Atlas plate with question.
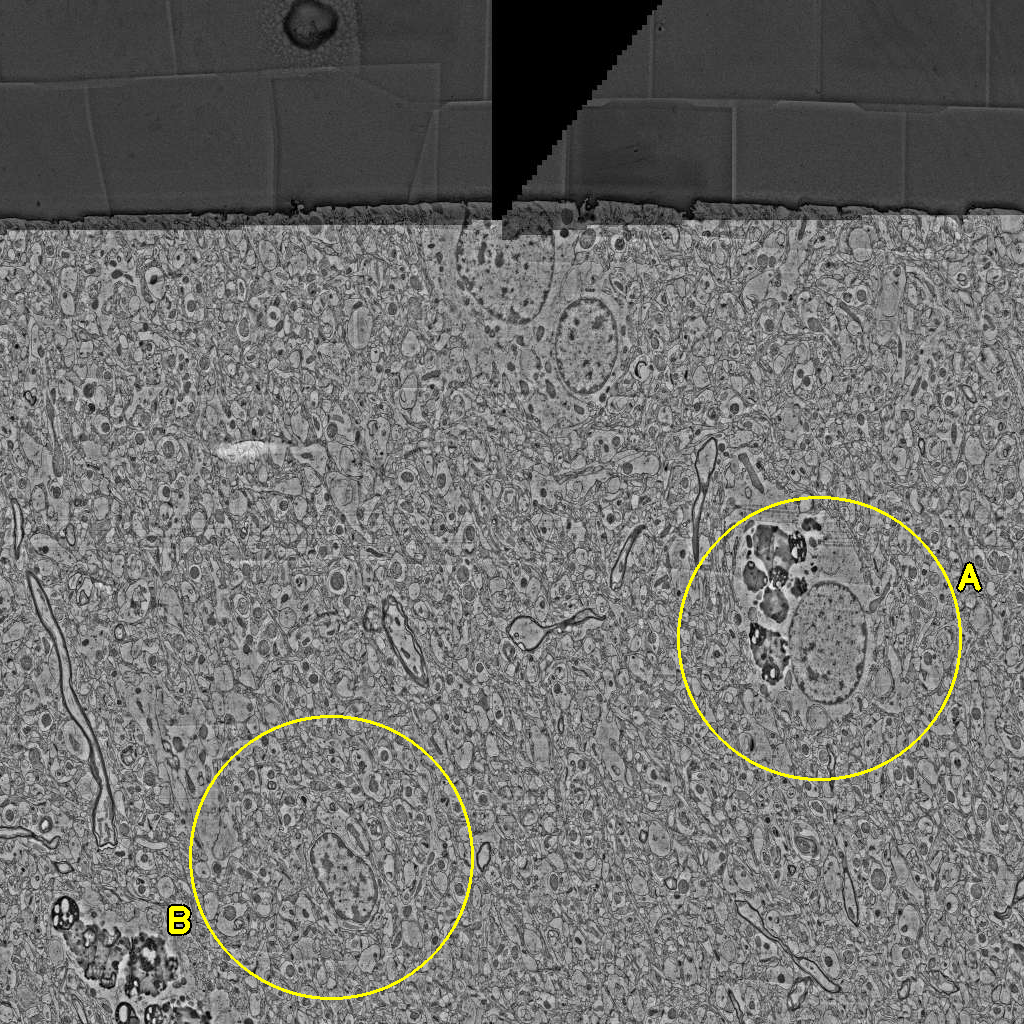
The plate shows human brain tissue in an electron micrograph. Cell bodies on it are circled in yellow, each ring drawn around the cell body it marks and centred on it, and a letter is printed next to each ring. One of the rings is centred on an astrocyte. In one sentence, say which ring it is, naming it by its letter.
It is ring A.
